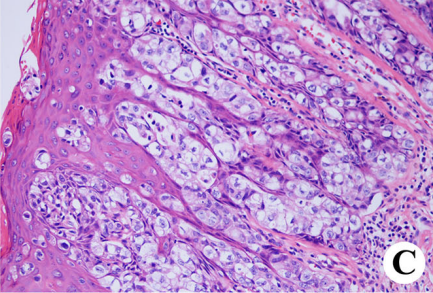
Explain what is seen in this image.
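This is squamous epidermis infiltrated by Paget cells. Large tumour cells with abundant pale, clear cytoplasm lie scattered through the epidermis and gather in rounded, nest-like clusters, separated by thin strands of pink-staining keratinocytes and fibrous tissue. Their nuclei are enlarged, dark-staining and irregular in size and shape. At the left edge, ordinary squamous cells with pink cytoplasm and smaller nuclei form the surface layer. The clear cells stand out sharply against these keratinocytes, and they occupy much of the thickness of the epithelium.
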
